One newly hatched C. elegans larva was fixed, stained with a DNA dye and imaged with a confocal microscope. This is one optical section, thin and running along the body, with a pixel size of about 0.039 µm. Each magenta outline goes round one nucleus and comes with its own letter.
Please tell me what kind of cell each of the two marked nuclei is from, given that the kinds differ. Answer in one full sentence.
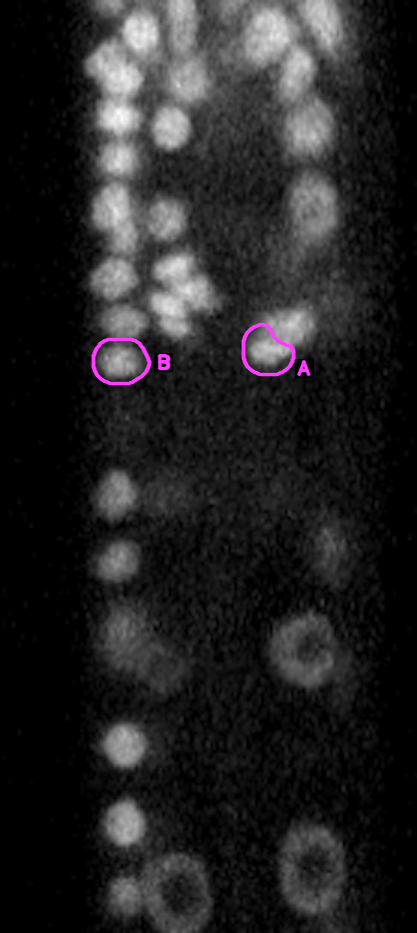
B belongs to a neuron, and A to a valve cell of the gut.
